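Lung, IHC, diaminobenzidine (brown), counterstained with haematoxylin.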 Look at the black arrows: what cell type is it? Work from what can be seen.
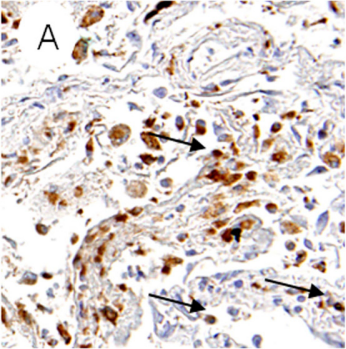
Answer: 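Thin fibrous septa enclose air spaces.
Pneumocytes.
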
